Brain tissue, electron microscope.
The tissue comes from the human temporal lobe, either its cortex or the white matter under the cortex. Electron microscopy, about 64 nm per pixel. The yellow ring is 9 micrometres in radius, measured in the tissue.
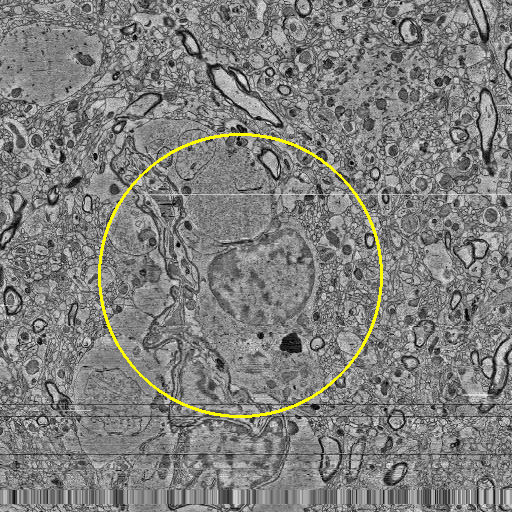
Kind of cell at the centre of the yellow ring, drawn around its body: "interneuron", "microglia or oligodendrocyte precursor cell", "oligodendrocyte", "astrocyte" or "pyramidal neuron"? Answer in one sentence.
The ring's centre falls on an oligodendrocyte.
